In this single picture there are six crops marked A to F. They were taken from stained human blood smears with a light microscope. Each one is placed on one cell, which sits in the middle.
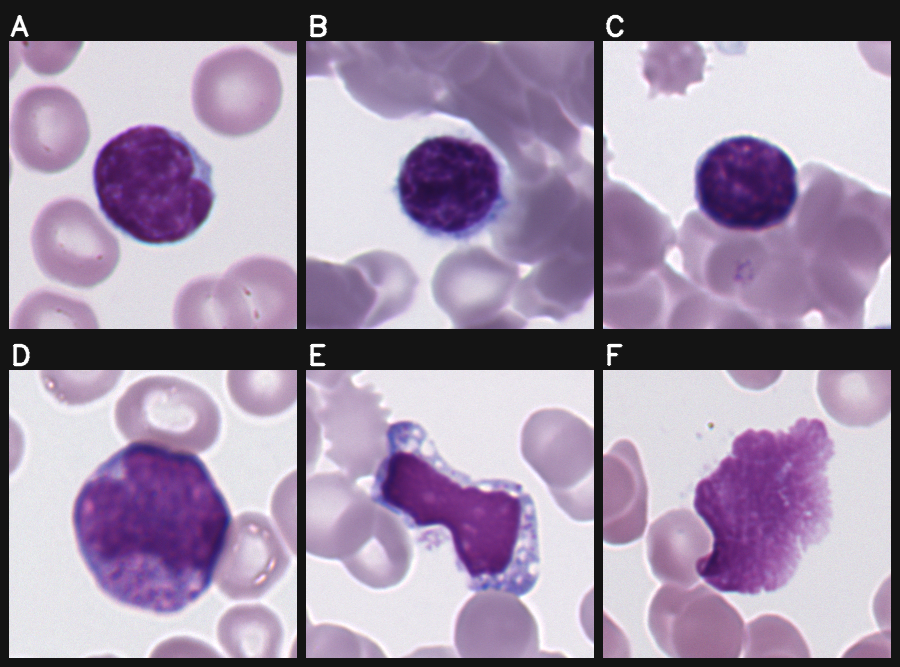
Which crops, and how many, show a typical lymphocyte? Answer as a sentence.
Altogether three crops, namely A, C and E, show typical lymphocytes.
